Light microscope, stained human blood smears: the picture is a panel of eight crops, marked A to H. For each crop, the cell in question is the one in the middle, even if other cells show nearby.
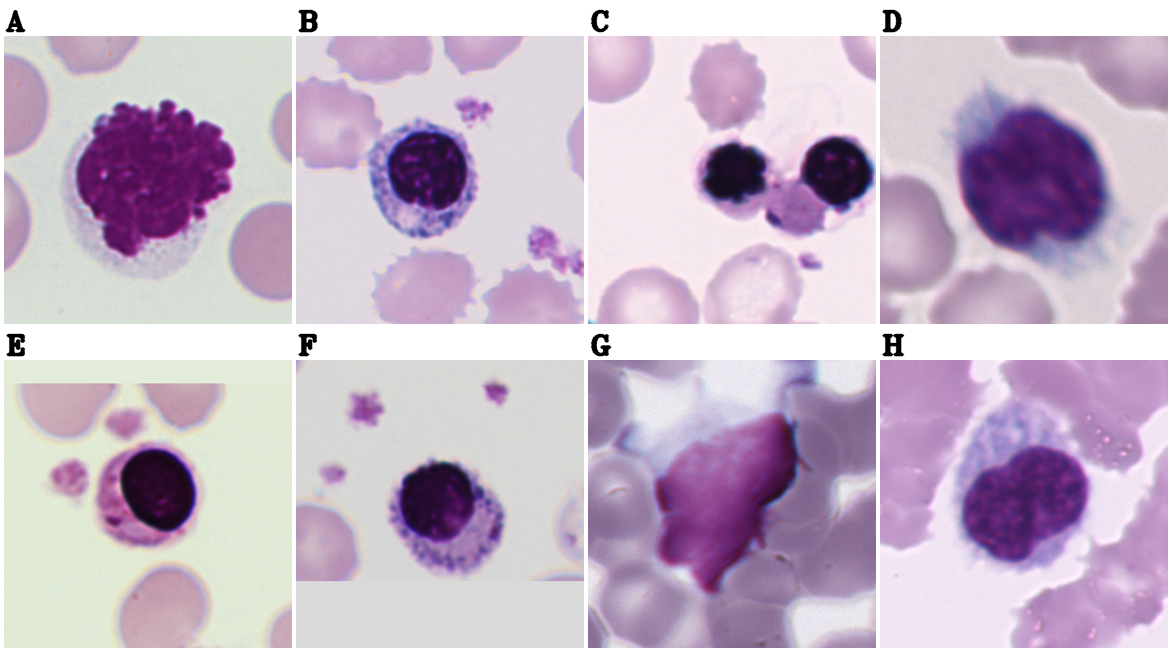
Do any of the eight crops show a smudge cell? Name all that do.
A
